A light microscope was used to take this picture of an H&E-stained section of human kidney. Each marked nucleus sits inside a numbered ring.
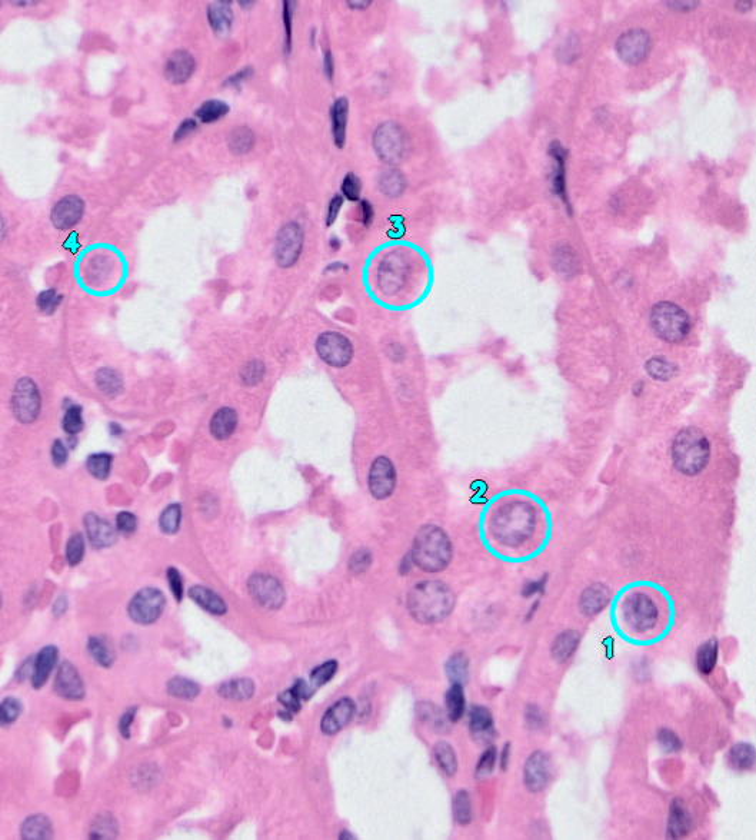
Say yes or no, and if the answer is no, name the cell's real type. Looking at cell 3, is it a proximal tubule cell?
Yes.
